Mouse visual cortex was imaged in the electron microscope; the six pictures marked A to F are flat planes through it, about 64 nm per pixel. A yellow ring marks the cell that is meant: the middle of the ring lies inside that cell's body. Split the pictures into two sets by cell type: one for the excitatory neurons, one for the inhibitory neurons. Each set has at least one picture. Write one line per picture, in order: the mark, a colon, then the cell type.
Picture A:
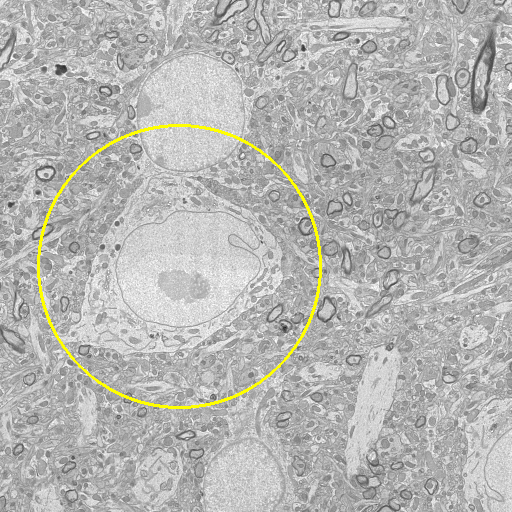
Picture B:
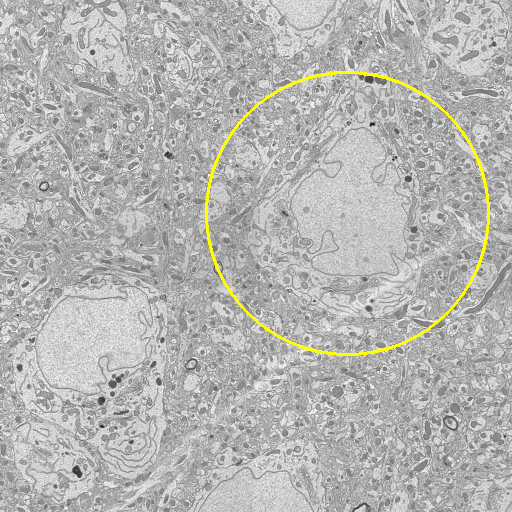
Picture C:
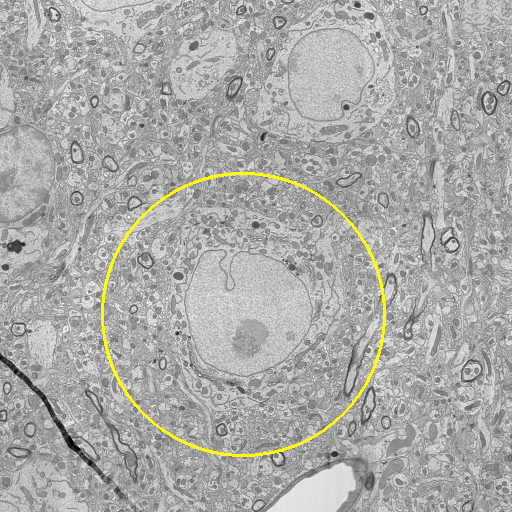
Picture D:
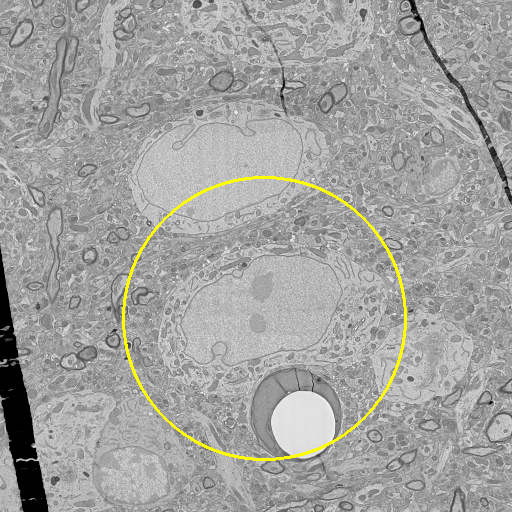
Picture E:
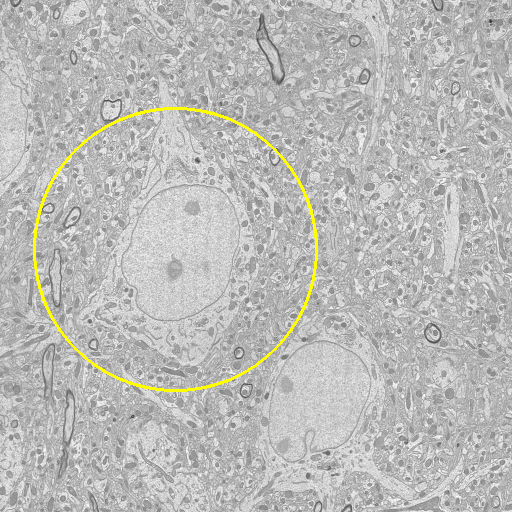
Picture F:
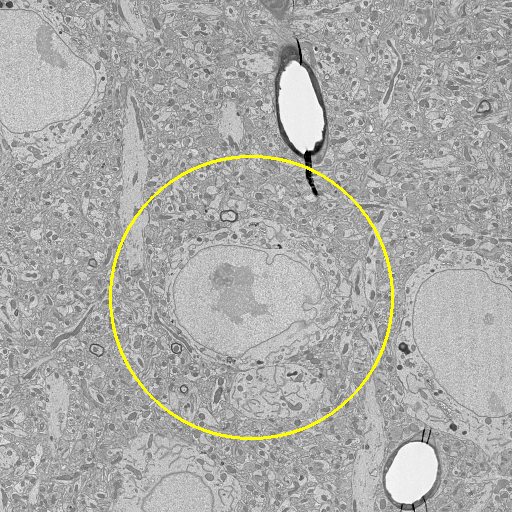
A: excitatory neuron
B: inhibitory neuron
C: inhibitory neuron
D: inhibitory neuron
E: excitatory neuron
F: inhibitory neuron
